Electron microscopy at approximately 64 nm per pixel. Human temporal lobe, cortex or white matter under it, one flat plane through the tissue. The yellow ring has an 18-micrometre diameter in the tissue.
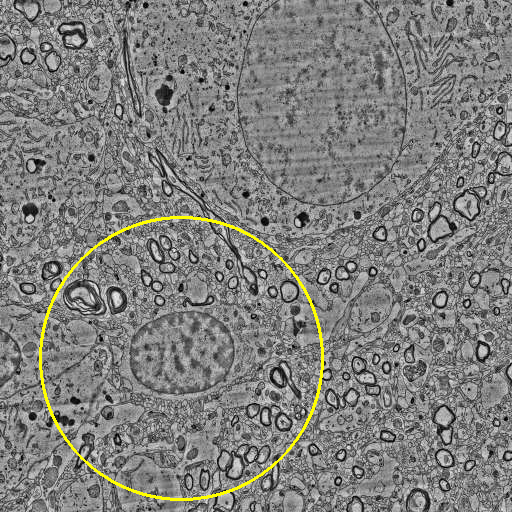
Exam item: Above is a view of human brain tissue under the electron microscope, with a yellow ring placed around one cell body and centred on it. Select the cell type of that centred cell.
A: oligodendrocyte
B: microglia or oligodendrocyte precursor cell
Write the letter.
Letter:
A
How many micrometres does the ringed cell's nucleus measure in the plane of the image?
Approximately 7 micrometres long and 5 micrometres wide, in this plane.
